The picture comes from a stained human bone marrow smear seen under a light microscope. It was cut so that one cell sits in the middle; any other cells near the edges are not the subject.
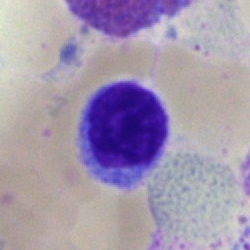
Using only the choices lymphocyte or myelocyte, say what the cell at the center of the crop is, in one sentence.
The cell marked by its central position in the crop is a lymphocyte.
